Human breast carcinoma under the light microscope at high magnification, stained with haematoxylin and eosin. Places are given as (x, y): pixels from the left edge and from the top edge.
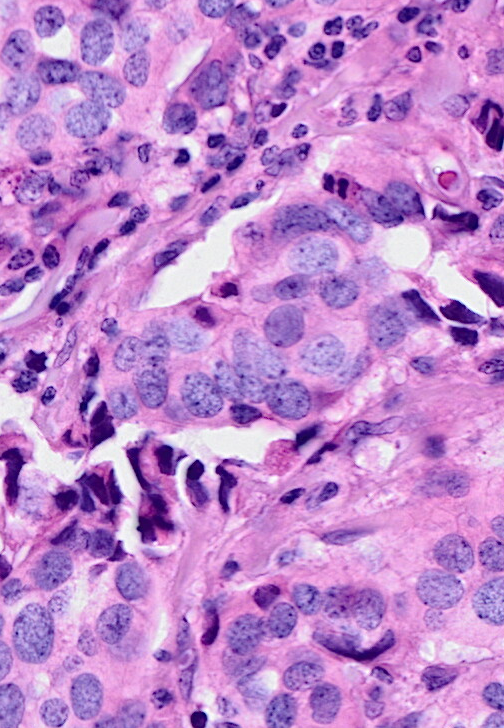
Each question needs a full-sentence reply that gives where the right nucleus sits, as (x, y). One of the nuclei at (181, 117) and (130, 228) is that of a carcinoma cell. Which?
Located at (181, 117), this nucleus is the one belonging to a carcinoma cell.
